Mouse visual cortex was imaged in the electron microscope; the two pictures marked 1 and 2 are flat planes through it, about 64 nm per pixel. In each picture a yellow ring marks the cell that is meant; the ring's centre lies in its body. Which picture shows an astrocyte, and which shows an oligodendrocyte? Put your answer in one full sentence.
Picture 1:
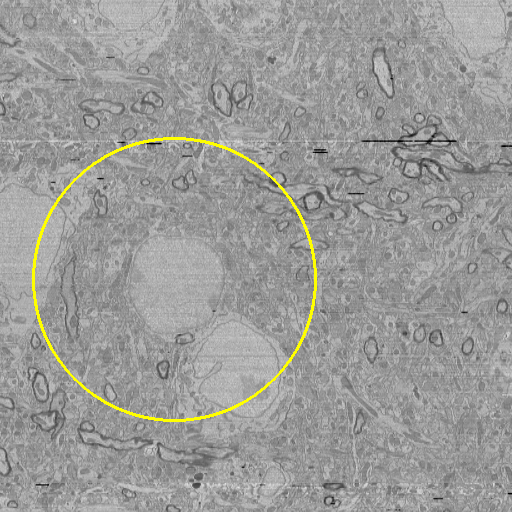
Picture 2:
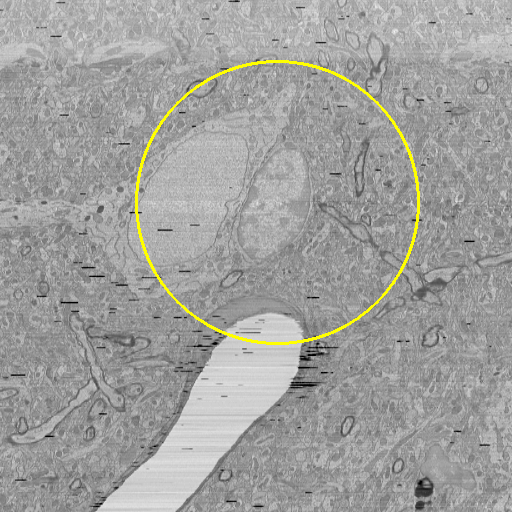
In picture 1 the cell is an astrocyte; in picture 2, an oligodendrocyte.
